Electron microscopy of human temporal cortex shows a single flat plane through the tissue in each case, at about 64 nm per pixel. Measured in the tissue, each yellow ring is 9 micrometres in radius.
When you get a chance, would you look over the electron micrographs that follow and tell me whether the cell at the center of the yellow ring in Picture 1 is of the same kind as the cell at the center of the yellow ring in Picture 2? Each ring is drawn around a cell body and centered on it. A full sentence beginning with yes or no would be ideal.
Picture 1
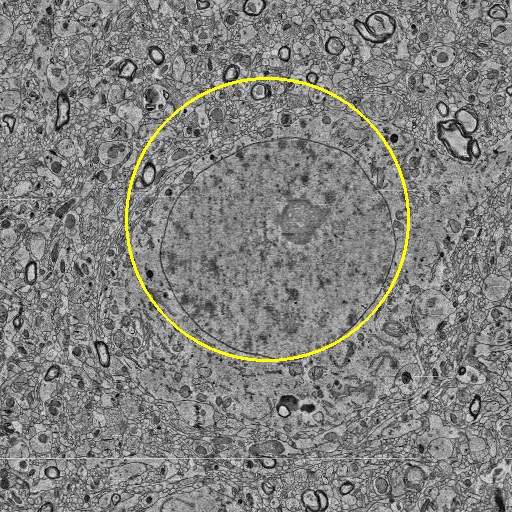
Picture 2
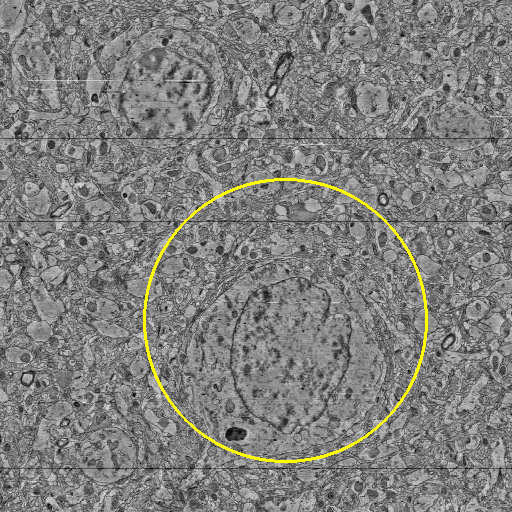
Yes, the two cells are of the same kind.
